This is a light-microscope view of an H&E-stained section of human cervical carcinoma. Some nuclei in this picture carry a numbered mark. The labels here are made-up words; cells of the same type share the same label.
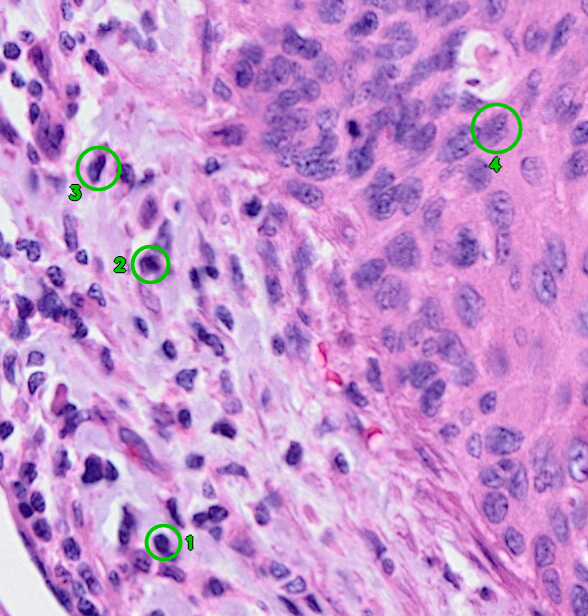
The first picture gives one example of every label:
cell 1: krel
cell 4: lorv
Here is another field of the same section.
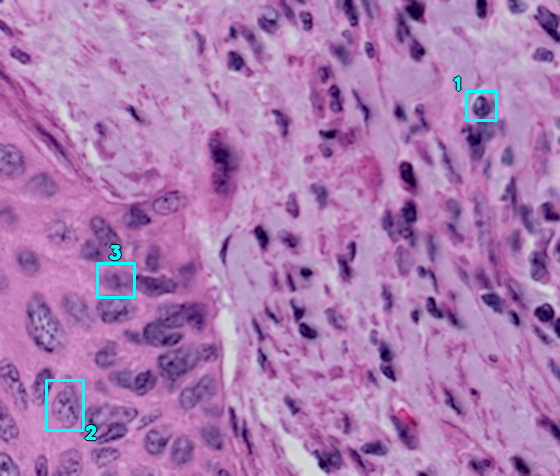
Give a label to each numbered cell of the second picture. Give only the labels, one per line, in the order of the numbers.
krel
lorv
lorv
